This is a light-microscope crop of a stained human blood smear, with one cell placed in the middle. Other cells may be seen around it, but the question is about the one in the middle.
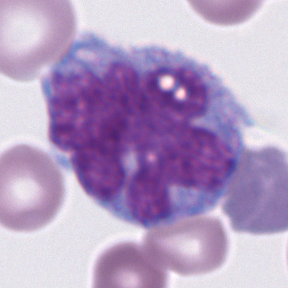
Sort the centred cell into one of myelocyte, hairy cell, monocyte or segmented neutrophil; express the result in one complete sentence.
The centered cell in this crop is a monocyte.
